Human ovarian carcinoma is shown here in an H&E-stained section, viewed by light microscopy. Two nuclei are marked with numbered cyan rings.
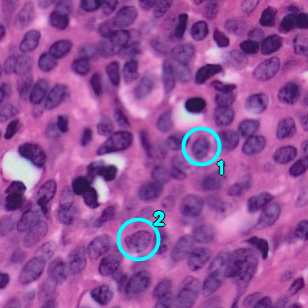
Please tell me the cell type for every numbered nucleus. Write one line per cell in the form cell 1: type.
cell 1: macrophage or monocyte
cell 2: carcinoma cell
